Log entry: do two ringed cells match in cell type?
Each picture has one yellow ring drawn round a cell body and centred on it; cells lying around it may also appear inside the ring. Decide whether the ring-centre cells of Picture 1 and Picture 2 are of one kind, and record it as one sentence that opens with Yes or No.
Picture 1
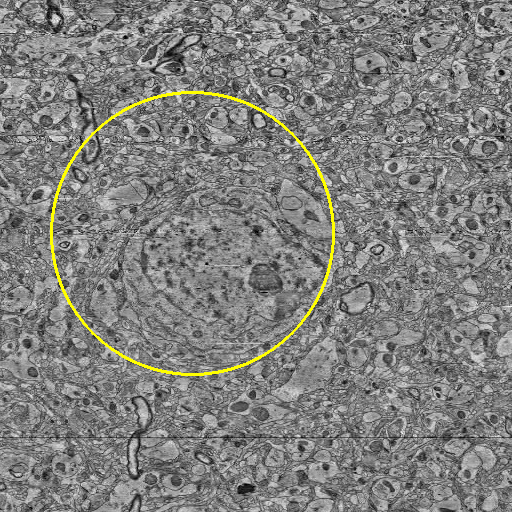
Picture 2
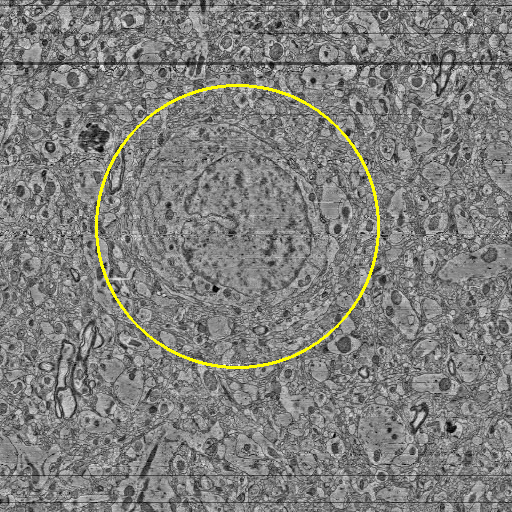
Yes, the cells at the ring centres of the two pictures belong to one kind.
